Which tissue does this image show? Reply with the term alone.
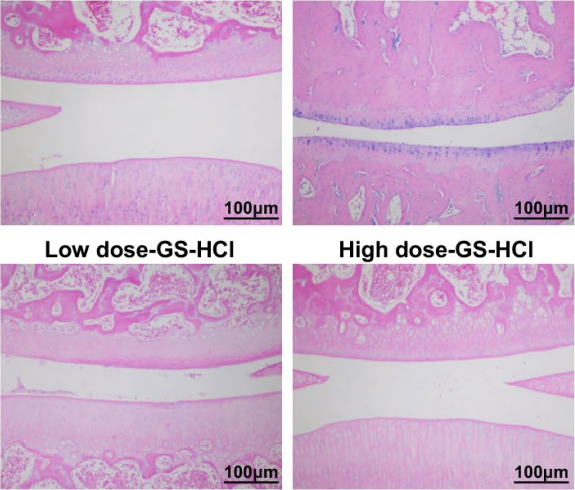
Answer: Articular cartilage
